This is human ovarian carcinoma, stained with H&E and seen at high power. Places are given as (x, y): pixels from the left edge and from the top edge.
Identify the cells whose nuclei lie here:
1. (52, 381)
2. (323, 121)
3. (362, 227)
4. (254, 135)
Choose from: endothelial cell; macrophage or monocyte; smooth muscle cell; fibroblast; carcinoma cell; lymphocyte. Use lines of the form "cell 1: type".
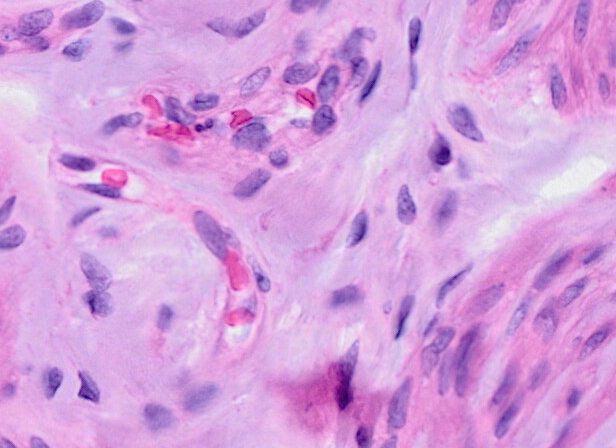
cell 1: fibroblast
cell 2: endothelial cell
cell 3: fibroblast
cell 4: endothelial cell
